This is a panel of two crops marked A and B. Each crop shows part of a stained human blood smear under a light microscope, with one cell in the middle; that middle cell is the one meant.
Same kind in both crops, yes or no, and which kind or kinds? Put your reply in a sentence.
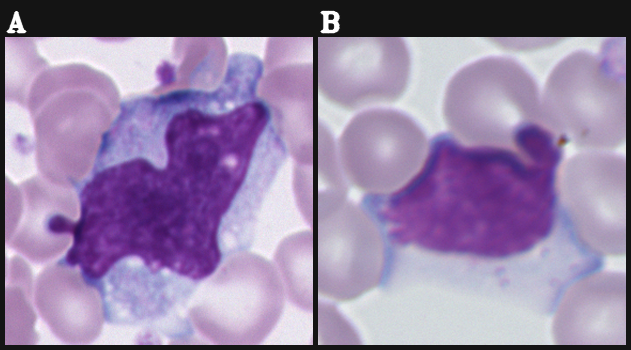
No, crop A and crop B contain, respectively, a monocyte and a large granular lymphocyte.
